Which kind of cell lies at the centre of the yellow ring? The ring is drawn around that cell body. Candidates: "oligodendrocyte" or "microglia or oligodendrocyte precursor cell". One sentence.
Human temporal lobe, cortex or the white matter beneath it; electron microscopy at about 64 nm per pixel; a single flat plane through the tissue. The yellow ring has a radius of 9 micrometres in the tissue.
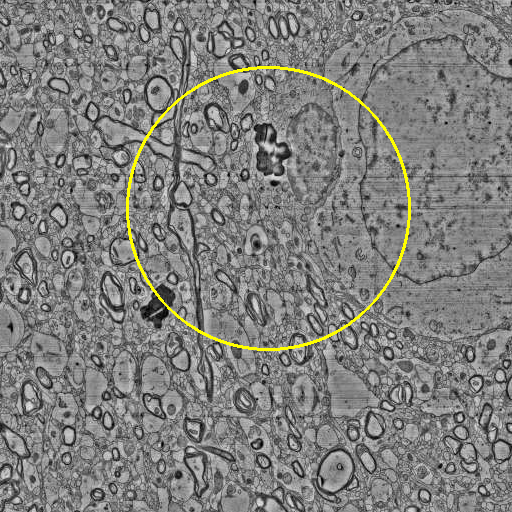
Lying at the centre of the ring is a microglial cell or oligodendrocyte precursor cell.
